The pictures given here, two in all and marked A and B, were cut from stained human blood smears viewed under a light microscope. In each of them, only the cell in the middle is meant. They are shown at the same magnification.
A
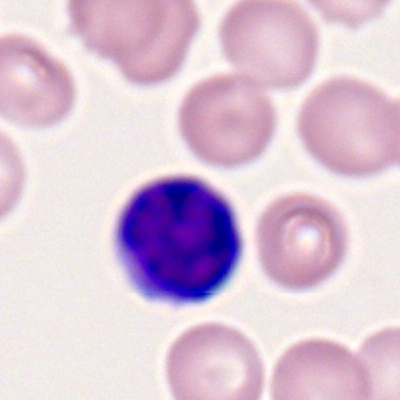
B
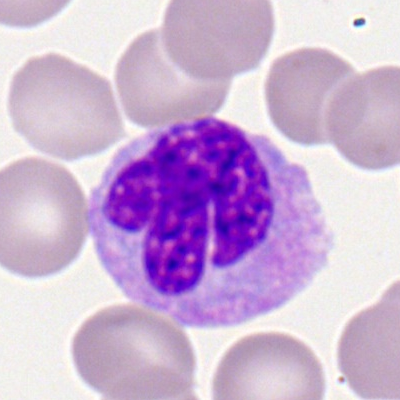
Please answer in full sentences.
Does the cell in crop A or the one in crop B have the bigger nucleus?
The nucleus in crop B is larger, with about 1.5 times the area of the one in crop A.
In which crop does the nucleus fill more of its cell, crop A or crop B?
The nucleus fills more of the cell in crop A than in crop B.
